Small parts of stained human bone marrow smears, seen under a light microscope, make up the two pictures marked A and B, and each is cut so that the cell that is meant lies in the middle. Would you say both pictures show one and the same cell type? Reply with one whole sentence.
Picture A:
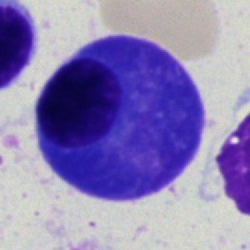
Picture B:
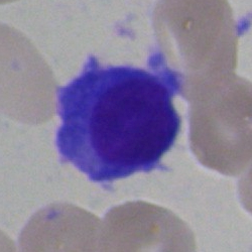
Yes, both are plasma cells.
